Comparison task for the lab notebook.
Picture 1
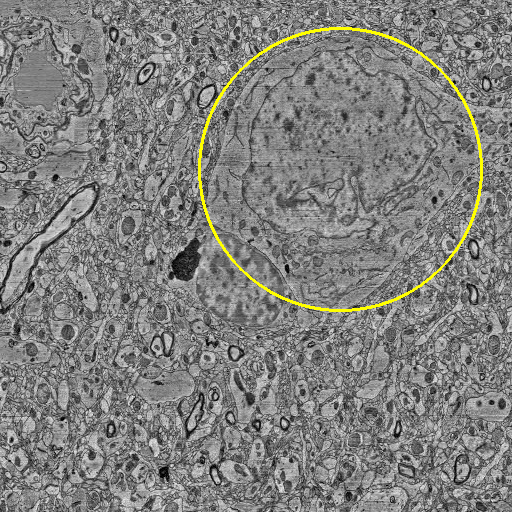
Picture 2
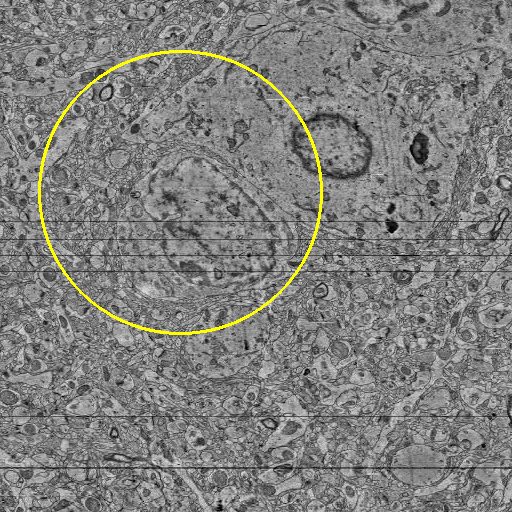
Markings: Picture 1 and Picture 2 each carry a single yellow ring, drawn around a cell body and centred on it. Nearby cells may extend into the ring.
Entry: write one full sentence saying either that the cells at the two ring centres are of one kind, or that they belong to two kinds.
The cells sitting at the ring centres in Picture 1 and Picture 2 are of one kind.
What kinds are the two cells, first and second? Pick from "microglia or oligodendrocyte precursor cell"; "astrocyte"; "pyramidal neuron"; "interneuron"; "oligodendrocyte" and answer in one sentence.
Each of the two pictures has an interneuron at the ring centre.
